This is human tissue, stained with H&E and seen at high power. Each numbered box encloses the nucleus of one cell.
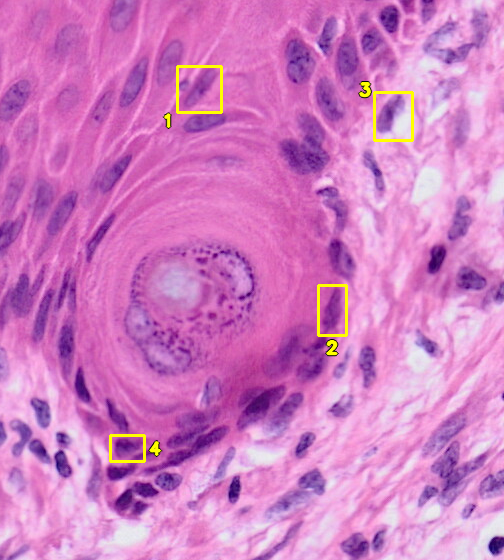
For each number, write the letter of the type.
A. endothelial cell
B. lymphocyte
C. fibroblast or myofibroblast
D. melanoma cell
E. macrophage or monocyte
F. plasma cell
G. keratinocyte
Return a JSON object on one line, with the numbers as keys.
{"1": "G", "2": "G", "3": "C", "4": "G"}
